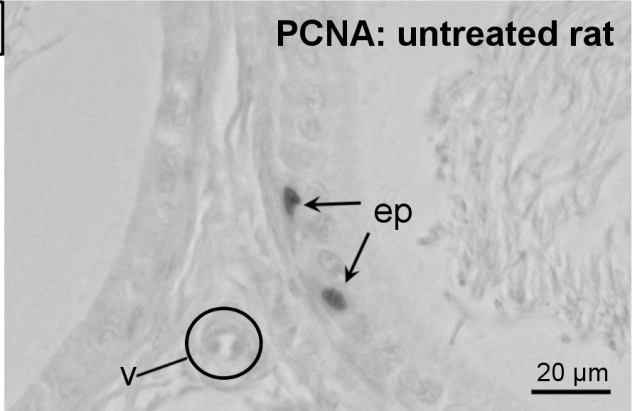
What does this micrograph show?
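Section of the epididymal duct in which a tall columnar epithelium lines the duct, its lumen at the right filled with a dense mass of sperm. Most epithelial nuclei are pale and oval, lying in the lower part of the cells, but a few nuclei near the base of the epithelium are stained dark grey-purple. Between the duct walls lies loose connective tissue containing a small blood vessel, circled, whose wall shows no darkly stained nuclei. The background and cytoplasm are pale grey without counterstain colour.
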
